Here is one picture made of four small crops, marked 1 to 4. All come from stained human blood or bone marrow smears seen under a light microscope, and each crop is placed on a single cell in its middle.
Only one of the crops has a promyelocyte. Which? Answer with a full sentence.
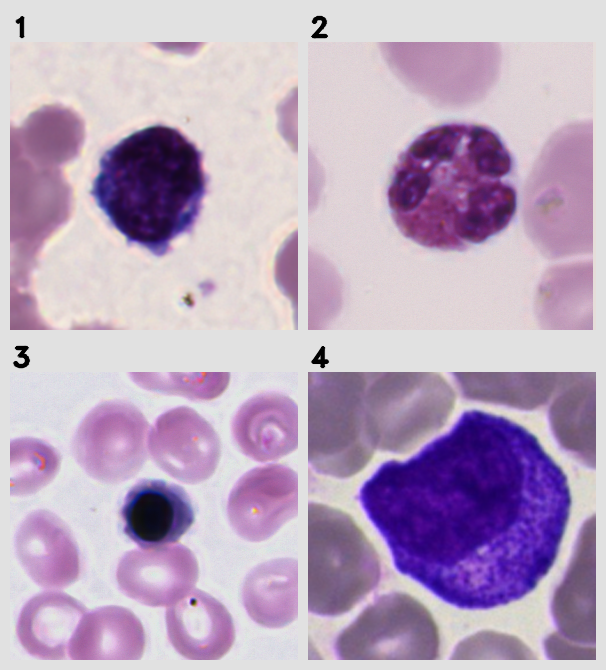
The crop with a promyelocyte in it is crop 4.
